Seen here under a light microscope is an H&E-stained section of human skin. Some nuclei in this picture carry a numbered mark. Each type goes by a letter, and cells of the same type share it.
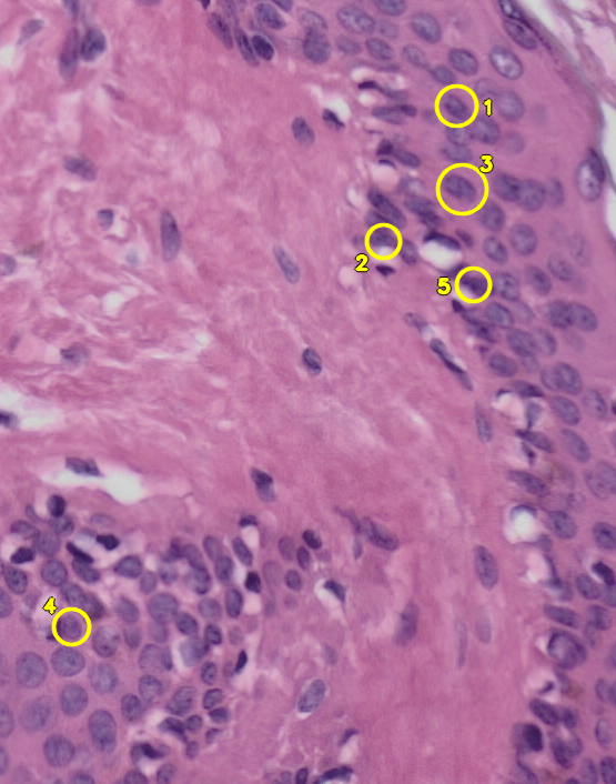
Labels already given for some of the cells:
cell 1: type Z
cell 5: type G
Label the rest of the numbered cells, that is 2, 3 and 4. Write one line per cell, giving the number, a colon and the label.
2: type G
3: type Z
4: type G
